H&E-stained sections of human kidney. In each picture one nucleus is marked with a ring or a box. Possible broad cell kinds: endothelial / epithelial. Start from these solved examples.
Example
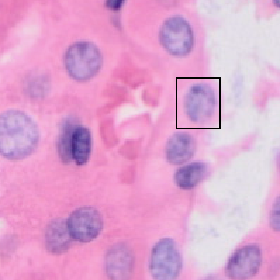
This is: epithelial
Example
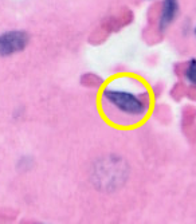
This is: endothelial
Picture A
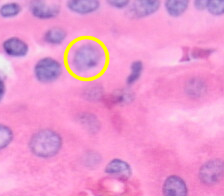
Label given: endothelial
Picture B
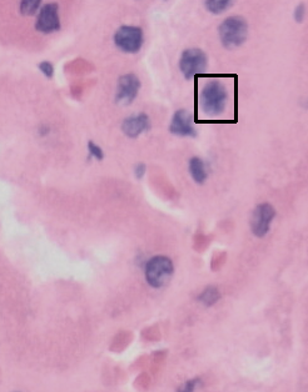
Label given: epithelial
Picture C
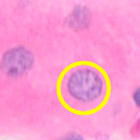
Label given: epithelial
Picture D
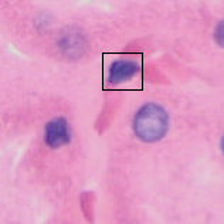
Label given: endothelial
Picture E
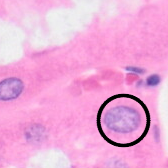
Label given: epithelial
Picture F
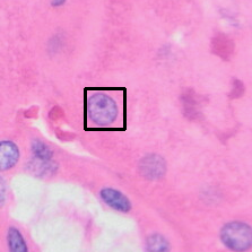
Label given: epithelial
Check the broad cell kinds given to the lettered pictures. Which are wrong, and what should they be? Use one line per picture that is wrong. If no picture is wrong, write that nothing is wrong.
A: epithelial, not endothelial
